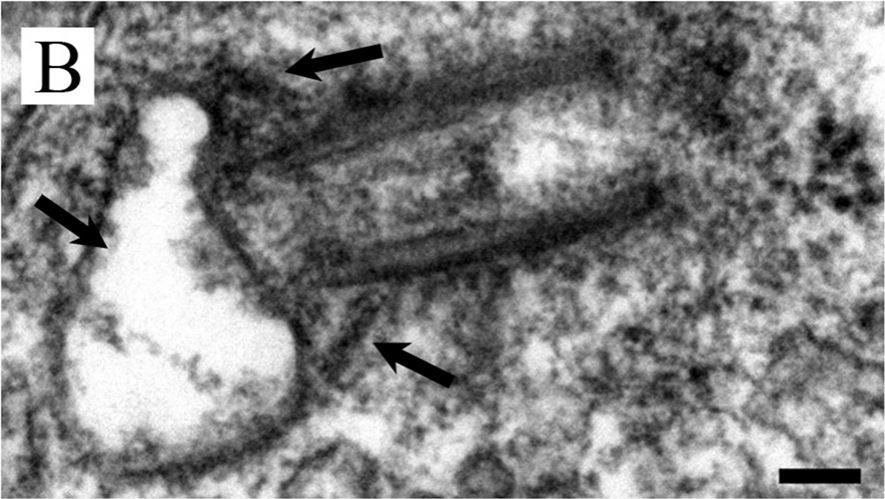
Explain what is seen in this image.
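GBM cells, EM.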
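Cytoplasm of a glioblastoma cell showing an early primary cilium: a cylindrical basal body with parallel dense walls, capped at one end by a pale, membrane-bound vesicle. The vesicle has an irregular, lobed outline, with a narrow bulge above and a wider lower part. Dense, fuzzy material projects from the sides of the basal body near the end facing the vesicle. The surrounding cytoplasm is finely granular.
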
